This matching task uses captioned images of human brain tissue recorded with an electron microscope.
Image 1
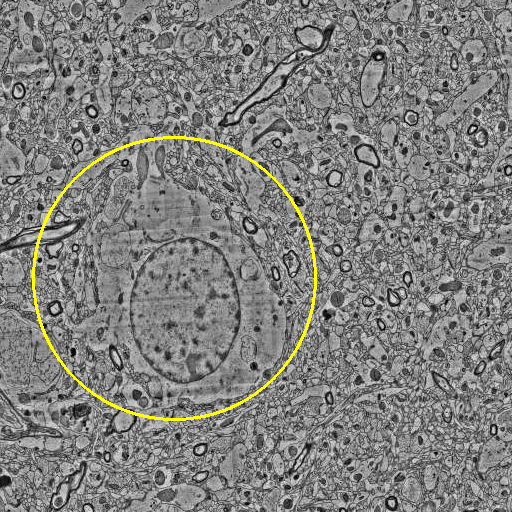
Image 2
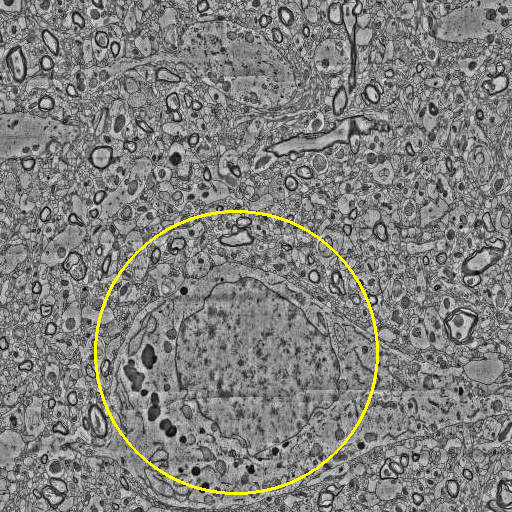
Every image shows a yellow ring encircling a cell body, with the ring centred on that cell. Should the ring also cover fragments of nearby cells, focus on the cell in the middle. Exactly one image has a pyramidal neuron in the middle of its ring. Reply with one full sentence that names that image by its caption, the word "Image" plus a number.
Image 2 shows the cell in question at the centre of its yellow ring.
